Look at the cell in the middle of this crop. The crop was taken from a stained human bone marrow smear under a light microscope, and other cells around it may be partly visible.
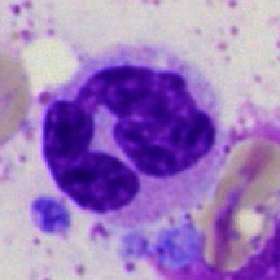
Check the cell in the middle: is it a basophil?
no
